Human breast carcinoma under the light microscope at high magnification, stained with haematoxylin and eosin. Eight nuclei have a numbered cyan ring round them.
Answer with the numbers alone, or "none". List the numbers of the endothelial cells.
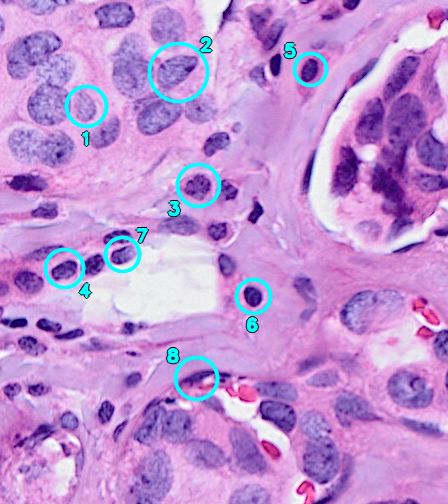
8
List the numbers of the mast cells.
5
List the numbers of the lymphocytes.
4, 6, 7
